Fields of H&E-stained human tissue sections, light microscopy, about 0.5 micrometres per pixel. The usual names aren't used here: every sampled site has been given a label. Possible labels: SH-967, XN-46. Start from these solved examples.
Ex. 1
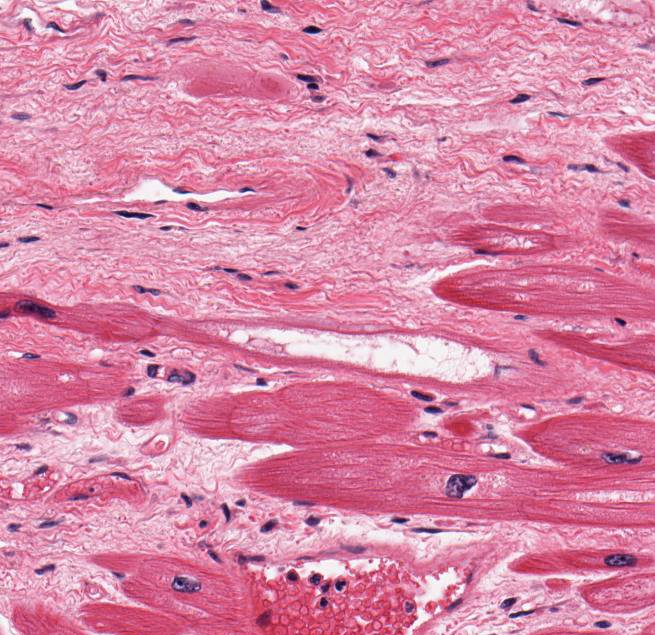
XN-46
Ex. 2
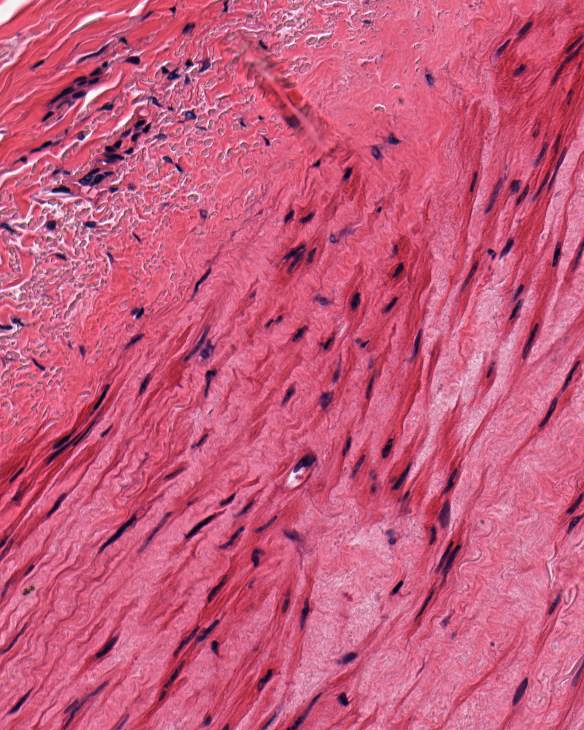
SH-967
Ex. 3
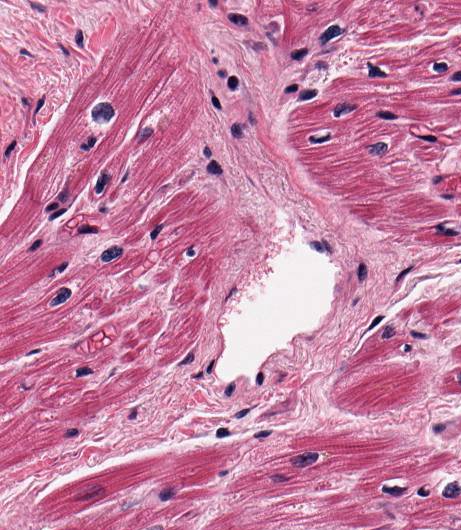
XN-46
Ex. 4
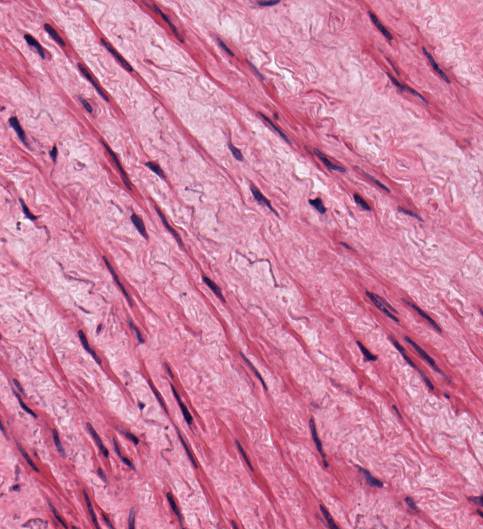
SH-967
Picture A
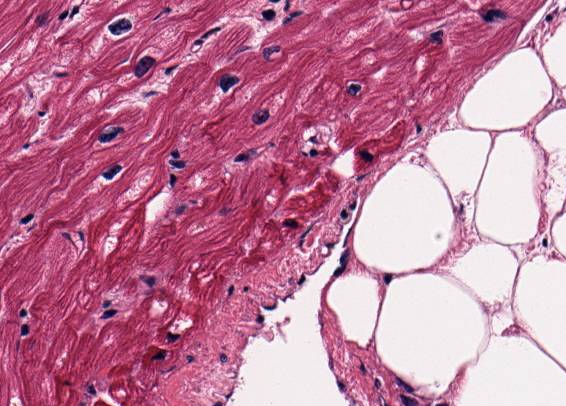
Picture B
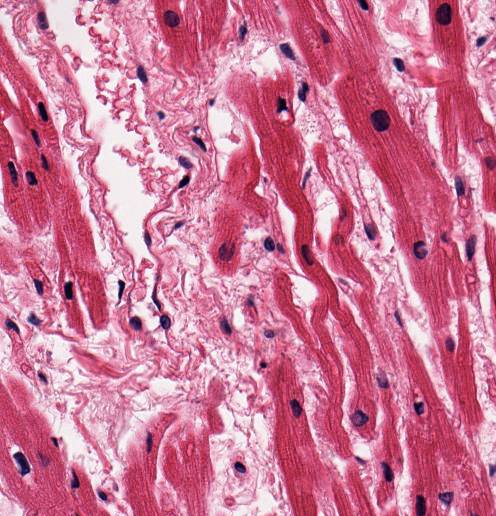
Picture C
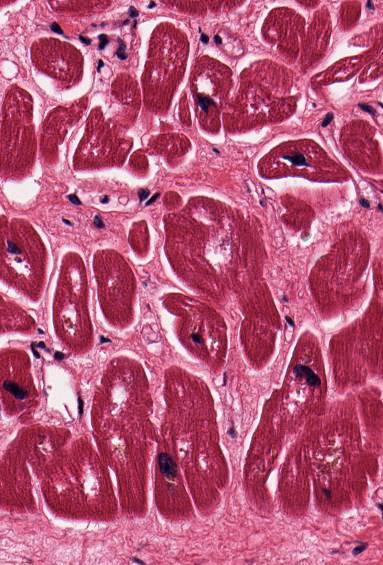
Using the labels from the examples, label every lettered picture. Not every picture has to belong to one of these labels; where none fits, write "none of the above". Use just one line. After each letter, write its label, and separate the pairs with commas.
A XN-46, B XN-46, C none of the above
